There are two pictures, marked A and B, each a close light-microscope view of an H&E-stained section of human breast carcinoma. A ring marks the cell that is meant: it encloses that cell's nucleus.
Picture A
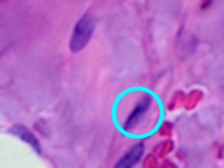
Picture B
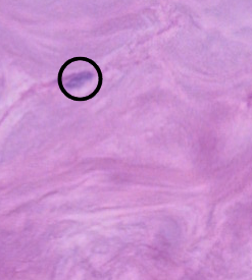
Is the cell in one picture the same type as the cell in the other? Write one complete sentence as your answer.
Yes, they are the same type: both are fibroblasts.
